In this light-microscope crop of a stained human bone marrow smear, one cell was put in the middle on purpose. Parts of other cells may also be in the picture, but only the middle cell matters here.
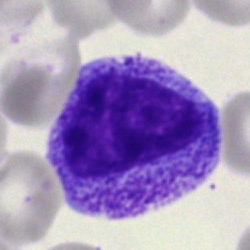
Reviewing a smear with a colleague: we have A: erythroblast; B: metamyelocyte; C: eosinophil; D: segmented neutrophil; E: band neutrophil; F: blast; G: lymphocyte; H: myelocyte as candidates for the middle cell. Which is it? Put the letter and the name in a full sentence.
Here the right option is H, as the cell in the middle is a myelocyte.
